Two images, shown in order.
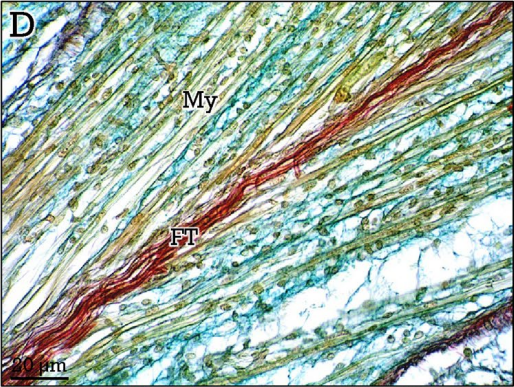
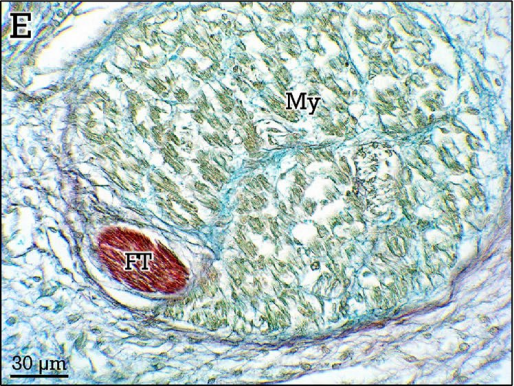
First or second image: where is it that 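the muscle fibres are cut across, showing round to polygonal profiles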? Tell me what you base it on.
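The second image. Second image: the yellow-green muscle forms a bundle of small cross-cut profiles, and the red fibrous strand appears as an oval cut end. First image: the yellow-green fibres run as long parallel strands, with the red fibrous strand running lengthwise among them.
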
